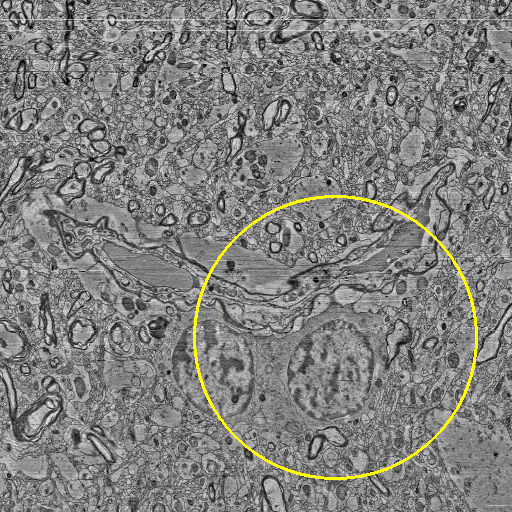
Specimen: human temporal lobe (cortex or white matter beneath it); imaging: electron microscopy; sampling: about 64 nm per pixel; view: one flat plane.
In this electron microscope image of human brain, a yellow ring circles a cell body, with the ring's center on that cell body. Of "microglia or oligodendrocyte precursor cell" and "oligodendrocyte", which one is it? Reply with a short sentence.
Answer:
It is an oligodendrocyte at the center of the ring.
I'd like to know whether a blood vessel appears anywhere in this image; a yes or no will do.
Yes, one shows.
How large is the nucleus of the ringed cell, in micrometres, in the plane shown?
The nucleus is approximately 7 micrometers long by 5 micrometers wide in this plane.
